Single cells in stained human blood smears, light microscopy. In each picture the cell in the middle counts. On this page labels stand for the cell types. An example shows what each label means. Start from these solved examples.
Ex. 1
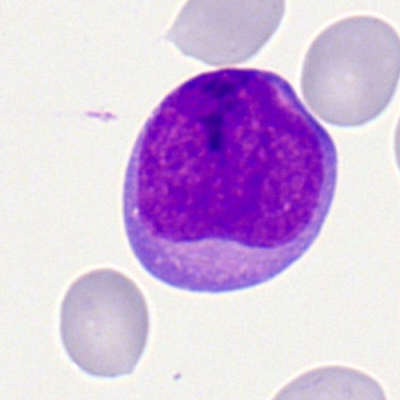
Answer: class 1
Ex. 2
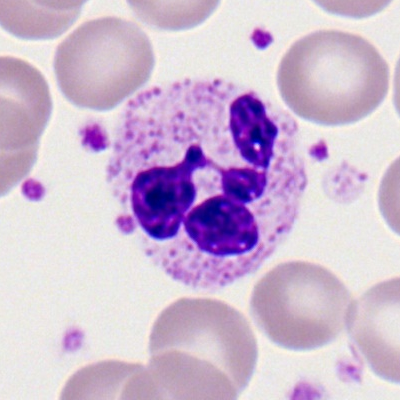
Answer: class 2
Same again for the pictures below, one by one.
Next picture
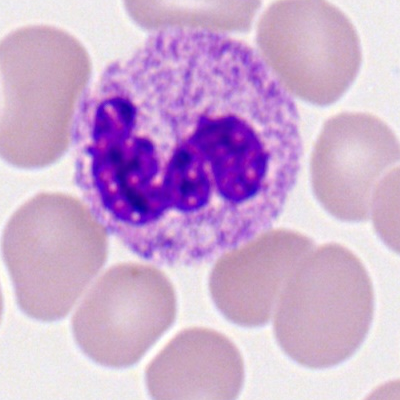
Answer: class 2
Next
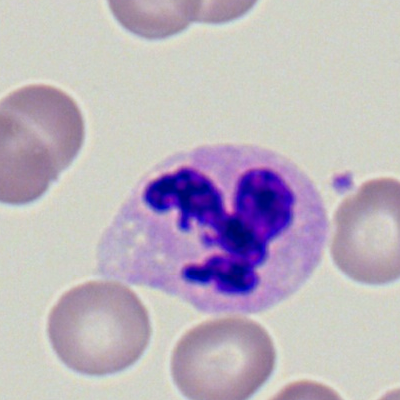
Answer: class 2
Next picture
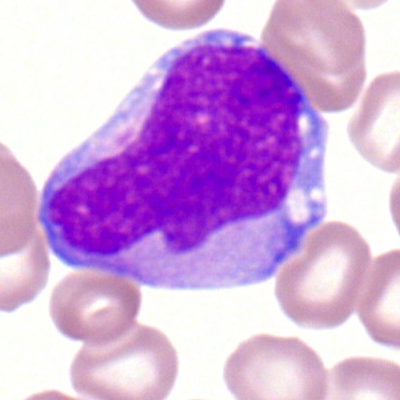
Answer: class 1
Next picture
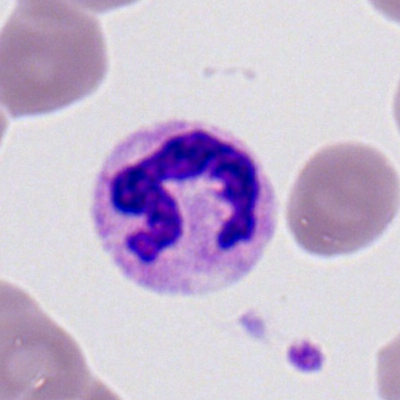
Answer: class 2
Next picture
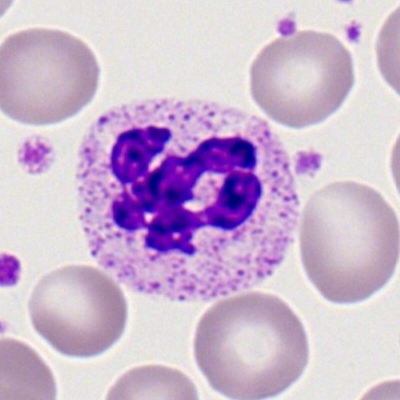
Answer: class 2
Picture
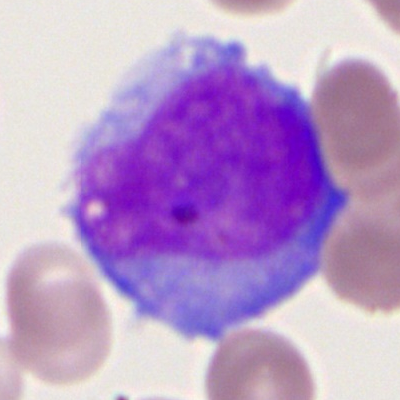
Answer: class 1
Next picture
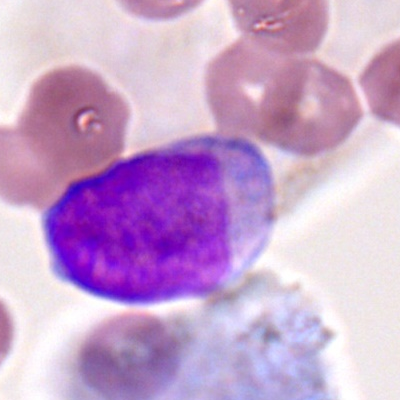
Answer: class 1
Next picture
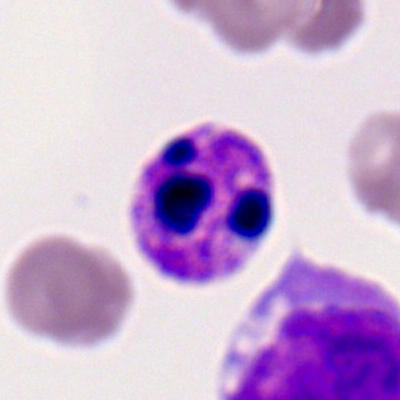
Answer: class 2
